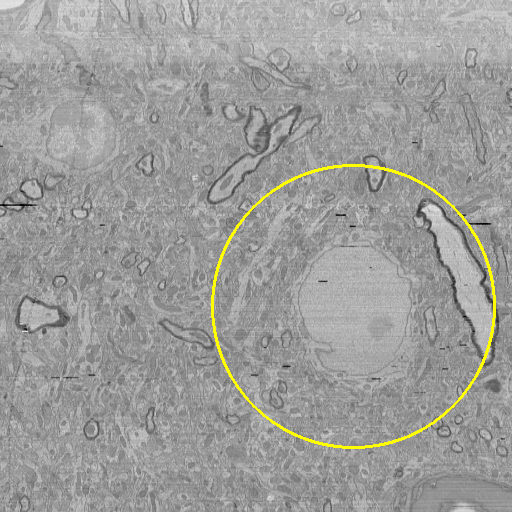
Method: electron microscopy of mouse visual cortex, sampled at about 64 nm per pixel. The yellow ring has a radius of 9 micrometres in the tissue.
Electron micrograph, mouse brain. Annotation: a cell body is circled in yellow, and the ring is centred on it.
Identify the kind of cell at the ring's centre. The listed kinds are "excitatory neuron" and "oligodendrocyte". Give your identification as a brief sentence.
The circled cell body is that of an excitatory neuron.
